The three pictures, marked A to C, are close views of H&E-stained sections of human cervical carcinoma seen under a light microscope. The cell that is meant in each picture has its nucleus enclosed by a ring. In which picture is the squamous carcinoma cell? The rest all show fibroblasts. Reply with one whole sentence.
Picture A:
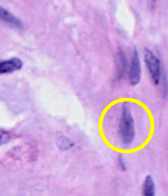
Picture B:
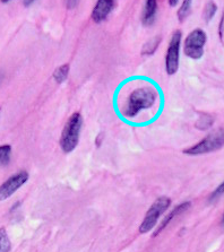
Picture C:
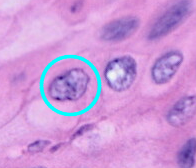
Picture C is the one that shows the squamous carcinoma cell.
